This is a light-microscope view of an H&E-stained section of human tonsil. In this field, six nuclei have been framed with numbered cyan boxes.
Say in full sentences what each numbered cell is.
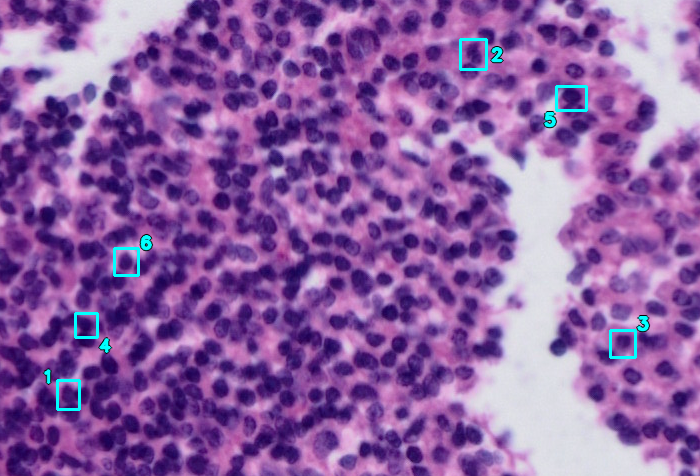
Cell 1 is a small lymphocyte, cell 2 is a plasma cell, cell 3 is a plasma cell, cell 4 is a small lymphocyte, cell 5 is a plasma cell and cell 6 is a small lymphocyte.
